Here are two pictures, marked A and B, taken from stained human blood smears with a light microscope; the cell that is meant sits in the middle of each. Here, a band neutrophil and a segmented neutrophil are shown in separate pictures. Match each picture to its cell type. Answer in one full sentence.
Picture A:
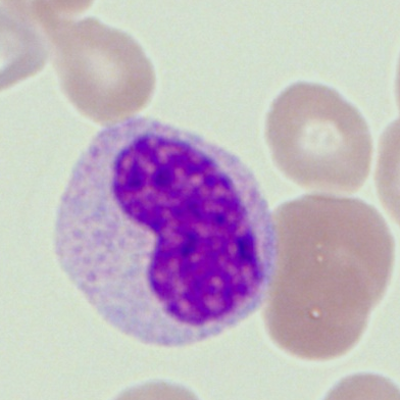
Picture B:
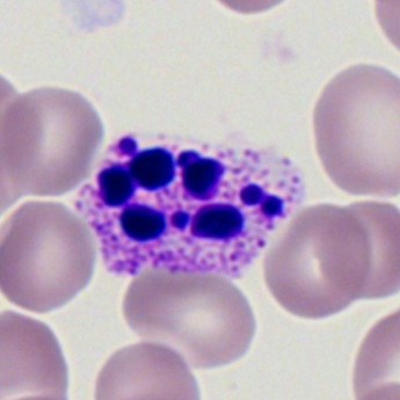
It is picture A that shows a band neutrophil, and picture B that shows a segmented neutrophil.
